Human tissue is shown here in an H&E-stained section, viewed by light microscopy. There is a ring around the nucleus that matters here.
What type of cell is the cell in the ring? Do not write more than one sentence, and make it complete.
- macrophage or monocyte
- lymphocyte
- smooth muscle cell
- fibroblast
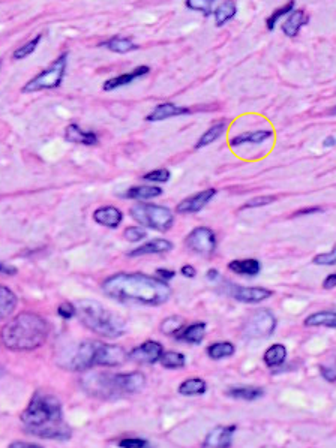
The expected answer is simply that the cell in the ring is a fibroblast.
